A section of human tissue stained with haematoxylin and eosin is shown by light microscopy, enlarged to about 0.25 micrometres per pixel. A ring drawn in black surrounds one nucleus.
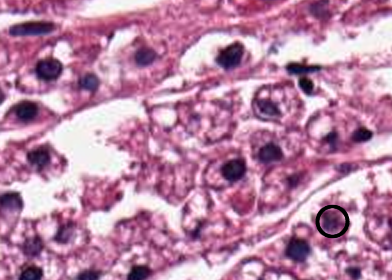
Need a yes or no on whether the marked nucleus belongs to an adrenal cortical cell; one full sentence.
Yes, in this image it is an adrenal cortical cell that contains the marked nucleus.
